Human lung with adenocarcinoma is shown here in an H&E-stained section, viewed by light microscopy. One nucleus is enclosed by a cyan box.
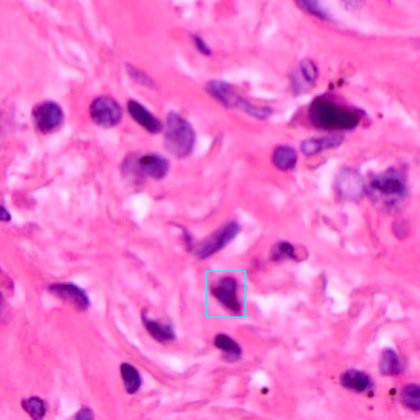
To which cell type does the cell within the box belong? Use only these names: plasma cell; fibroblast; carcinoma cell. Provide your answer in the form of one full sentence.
In terms of identity, the cell within the box is a plasma cell.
